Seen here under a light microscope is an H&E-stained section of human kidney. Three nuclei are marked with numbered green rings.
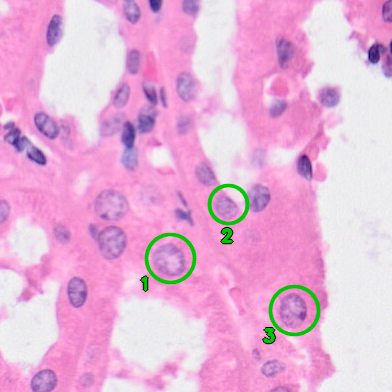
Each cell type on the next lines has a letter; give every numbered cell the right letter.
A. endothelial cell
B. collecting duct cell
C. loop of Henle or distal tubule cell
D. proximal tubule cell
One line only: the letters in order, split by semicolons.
D; C; D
